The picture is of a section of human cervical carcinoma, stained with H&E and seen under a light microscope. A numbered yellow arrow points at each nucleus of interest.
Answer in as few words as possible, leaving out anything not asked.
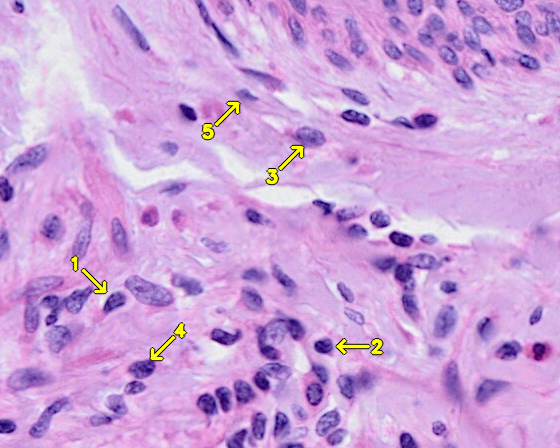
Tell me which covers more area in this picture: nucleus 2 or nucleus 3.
3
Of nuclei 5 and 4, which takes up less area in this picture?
5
